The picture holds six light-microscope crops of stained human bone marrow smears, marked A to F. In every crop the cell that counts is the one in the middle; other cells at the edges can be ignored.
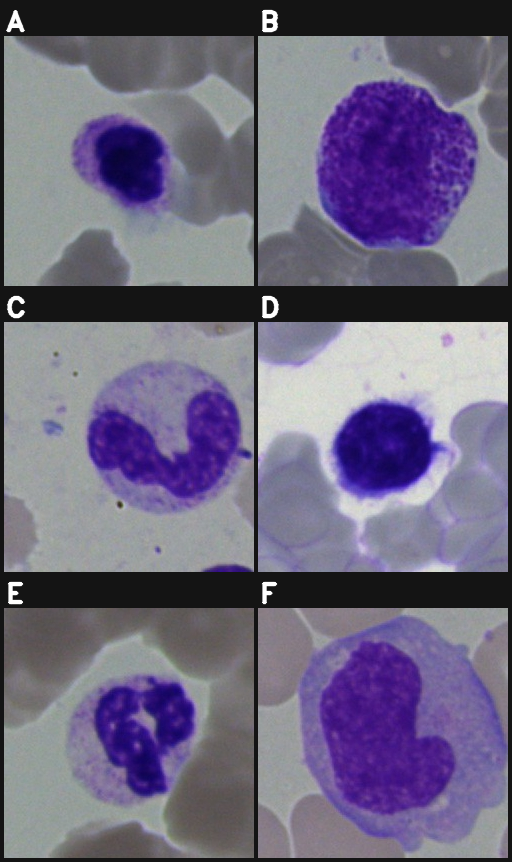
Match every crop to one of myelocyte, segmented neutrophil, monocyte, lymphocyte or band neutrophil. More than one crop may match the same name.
A: segmented neutrophil
B: myelocyte
C: band neutrophil
D: lymphocyte
E: segmented neutrophil
F: monocyte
